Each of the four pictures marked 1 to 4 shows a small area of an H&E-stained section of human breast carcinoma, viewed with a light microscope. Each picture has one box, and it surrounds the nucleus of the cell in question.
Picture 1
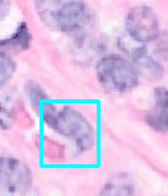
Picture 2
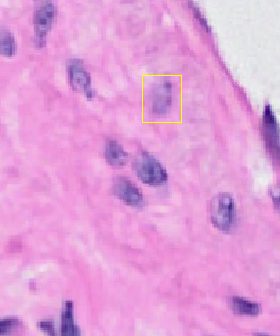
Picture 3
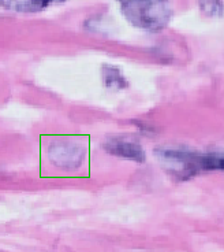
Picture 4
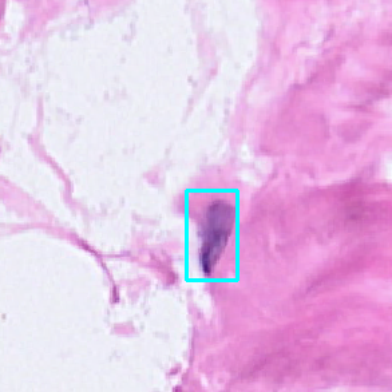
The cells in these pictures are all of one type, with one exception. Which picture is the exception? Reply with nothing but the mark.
4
